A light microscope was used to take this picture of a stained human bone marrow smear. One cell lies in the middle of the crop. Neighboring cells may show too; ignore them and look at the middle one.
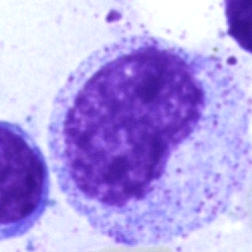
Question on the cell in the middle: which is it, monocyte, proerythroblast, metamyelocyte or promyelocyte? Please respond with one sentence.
The cell in the exact centre of the crop is a metamyelocyte.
